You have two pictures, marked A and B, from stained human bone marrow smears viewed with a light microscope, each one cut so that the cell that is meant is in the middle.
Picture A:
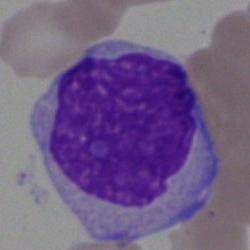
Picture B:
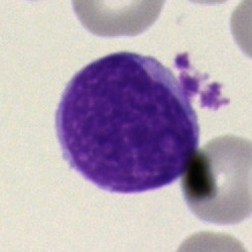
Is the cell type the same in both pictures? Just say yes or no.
yes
